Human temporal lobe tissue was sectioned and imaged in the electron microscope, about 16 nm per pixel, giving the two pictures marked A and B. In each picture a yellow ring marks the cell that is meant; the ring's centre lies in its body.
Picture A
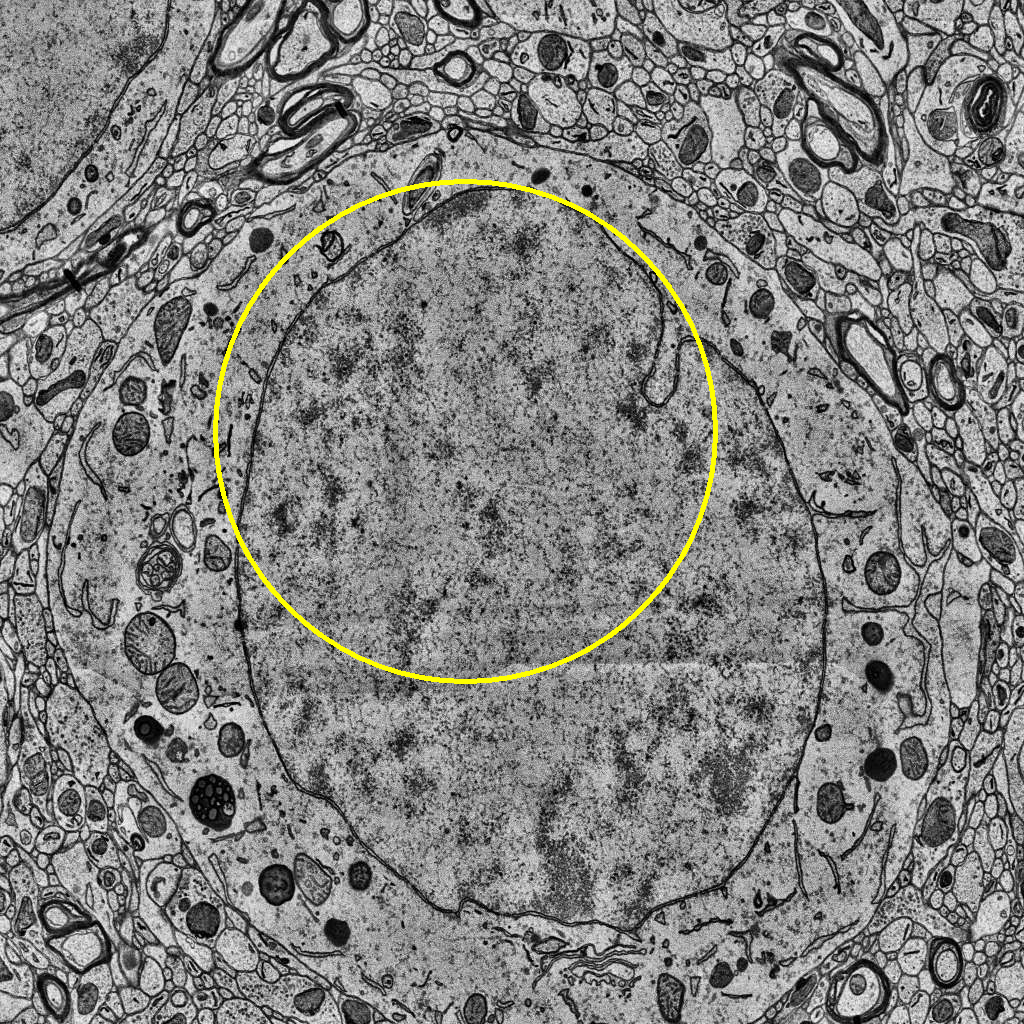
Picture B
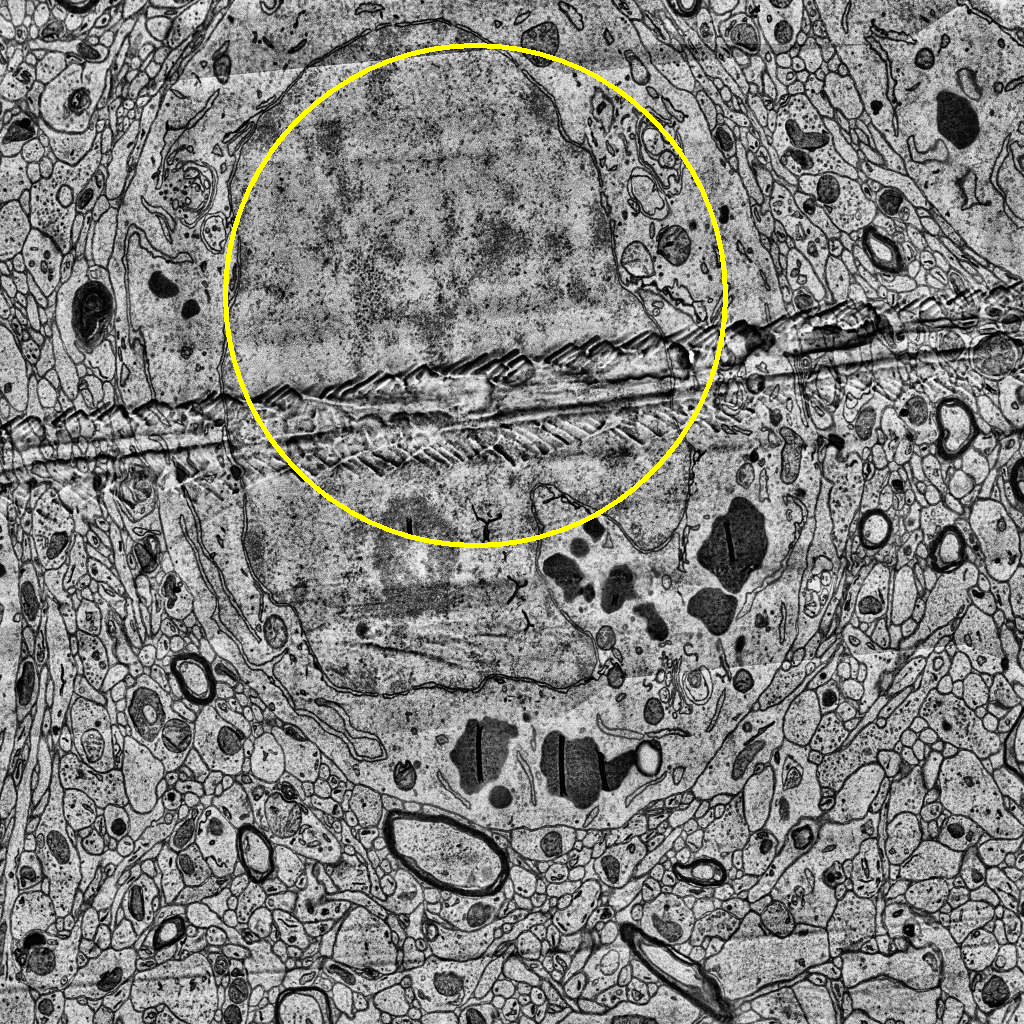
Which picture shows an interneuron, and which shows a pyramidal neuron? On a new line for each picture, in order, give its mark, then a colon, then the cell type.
A: pyramidal neuron
B: interneuron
